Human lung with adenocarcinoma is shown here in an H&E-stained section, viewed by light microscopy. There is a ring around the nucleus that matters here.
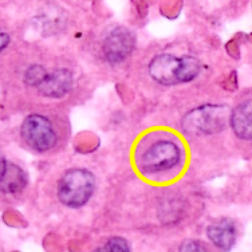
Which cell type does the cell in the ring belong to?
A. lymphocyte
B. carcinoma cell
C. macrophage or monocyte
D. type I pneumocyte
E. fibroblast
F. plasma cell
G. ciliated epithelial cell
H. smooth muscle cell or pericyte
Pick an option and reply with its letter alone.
C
